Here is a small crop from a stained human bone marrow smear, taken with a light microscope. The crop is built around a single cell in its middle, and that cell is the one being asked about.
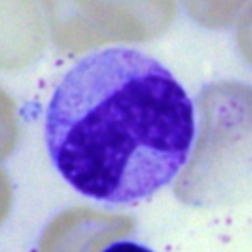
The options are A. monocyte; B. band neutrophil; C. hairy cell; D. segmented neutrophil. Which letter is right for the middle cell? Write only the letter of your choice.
B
